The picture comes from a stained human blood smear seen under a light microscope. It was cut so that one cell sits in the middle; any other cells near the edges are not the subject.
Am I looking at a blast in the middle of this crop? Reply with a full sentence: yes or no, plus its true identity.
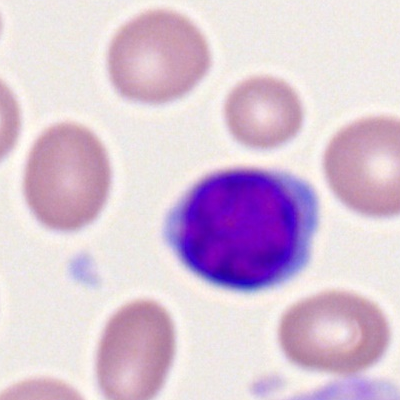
No, the cell at the centre is a lymphocyte, which rules out a blast.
